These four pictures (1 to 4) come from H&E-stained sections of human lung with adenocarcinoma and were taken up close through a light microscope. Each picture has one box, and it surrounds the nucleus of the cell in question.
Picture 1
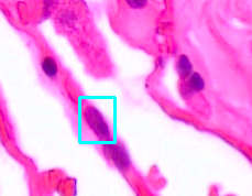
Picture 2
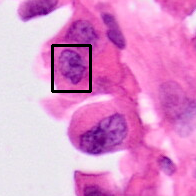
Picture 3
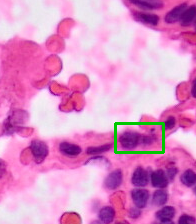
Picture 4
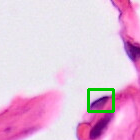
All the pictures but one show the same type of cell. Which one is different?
2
